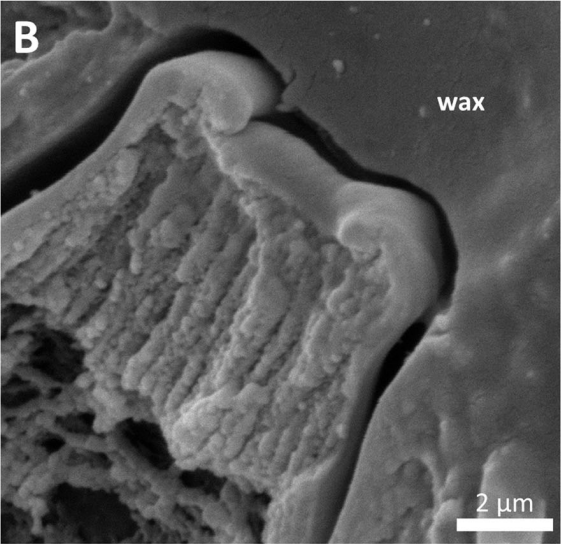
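The filamentous tissue is finely striated, with fibres running in parallel. Porous, irregular material lies below and to the left.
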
